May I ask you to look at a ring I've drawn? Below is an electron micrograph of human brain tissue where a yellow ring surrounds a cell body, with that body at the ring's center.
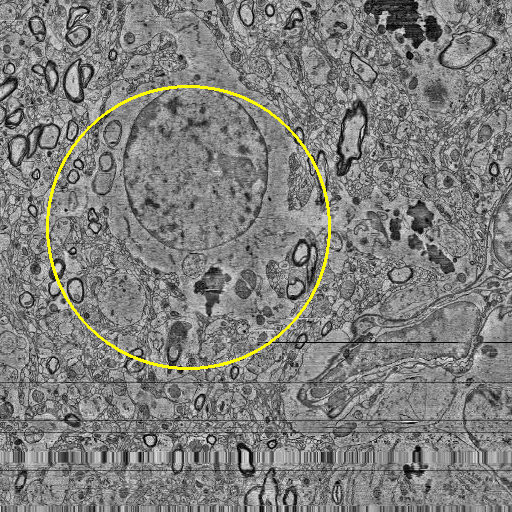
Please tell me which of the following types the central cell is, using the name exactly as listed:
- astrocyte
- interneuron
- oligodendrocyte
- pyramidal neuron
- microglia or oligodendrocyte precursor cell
astrocyte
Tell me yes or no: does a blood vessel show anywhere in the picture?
Yes.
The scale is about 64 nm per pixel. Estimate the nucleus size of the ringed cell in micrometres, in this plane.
The ringed cell's nucleus measures approximately 11 by 9 micrometres in this plane.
